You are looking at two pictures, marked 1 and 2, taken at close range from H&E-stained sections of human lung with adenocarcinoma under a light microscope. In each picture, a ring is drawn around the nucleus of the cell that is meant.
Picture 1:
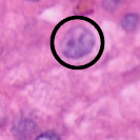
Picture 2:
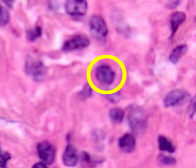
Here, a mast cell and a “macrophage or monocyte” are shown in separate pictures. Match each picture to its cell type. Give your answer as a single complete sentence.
Picture 1 is of a “macrophage or monocyte”, and picture 2 is of a mast cell.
